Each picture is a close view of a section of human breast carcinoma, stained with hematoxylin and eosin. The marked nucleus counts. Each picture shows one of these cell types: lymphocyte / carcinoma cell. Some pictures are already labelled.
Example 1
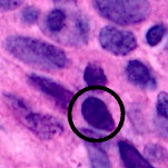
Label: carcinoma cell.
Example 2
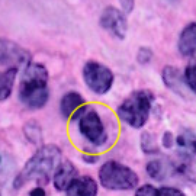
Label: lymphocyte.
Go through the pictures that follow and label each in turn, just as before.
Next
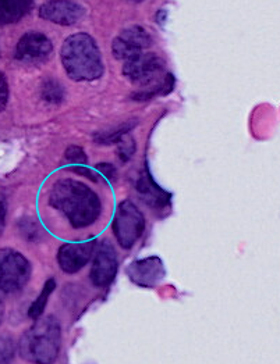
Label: carcinoma cell.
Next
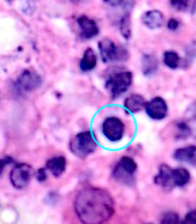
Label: lymphocyte.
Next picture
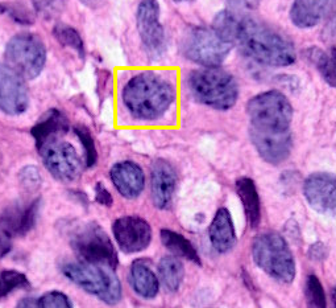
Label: carcinoma cell.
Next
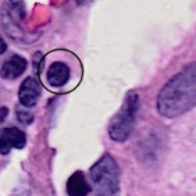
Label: lymphocyte.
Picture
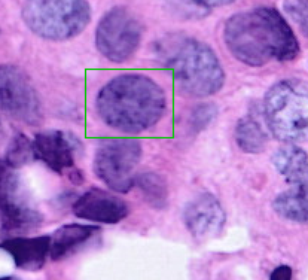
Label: carcinoma cell.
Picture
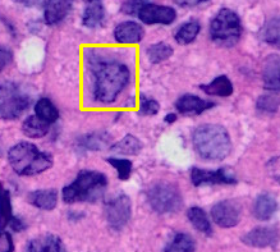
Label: carcinoma cell.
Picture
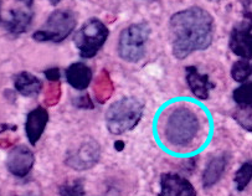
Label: carcinoma cell.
